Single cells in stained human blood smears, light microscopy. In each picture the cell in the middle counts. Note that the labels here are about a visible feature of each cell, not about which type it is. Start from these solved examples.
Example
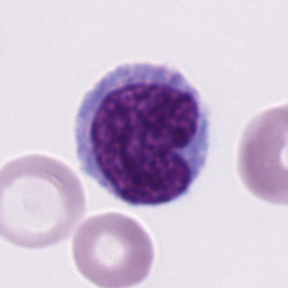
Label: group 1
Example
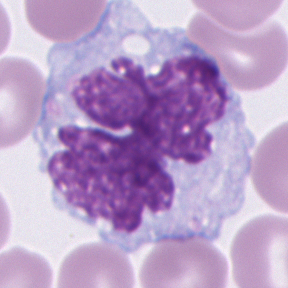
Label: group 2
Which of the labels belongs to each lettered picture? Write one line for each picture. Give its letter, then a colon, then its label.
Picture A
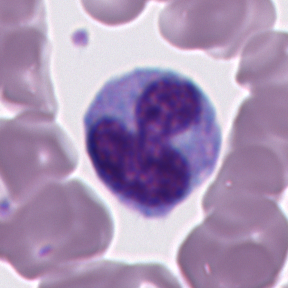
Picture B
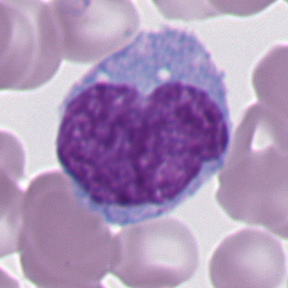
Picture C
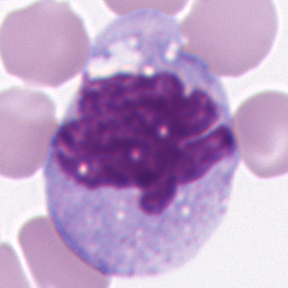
A: group 1
B: group 2
C: group 2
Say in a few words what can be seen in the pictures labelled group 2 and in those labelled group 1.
In group 2: vacuoles present. In group 1: no vacuoles.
